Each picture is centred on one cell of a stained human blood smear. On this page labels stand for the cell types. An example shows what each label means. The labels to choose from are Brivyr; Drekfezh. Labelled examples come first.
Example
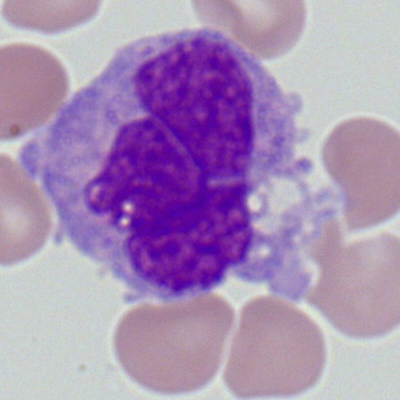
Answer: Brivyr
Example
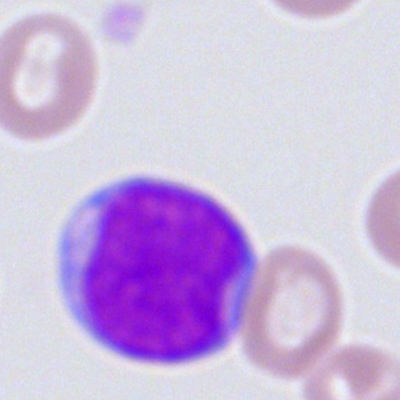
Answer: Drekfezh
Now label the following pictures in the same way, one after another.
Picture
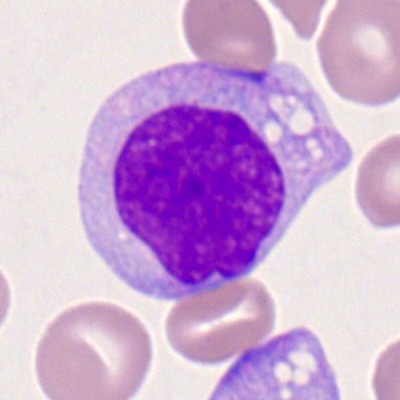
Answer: Brivyr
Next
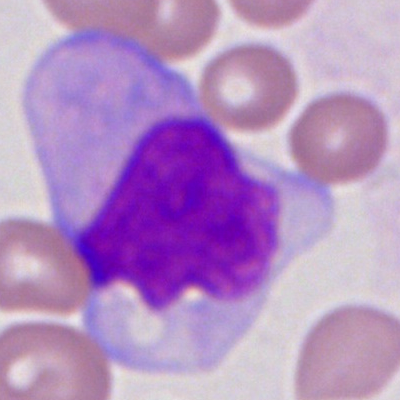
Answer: Brivyr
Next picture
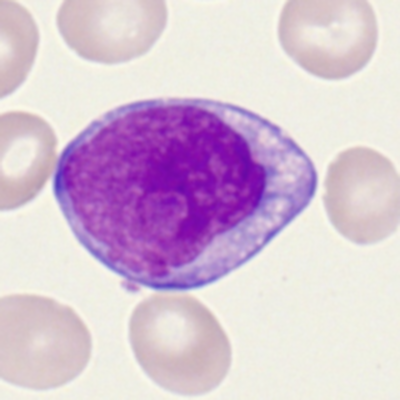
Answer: Drekfezh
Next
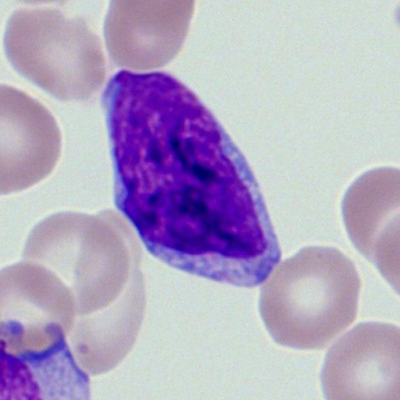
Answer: Drekfezh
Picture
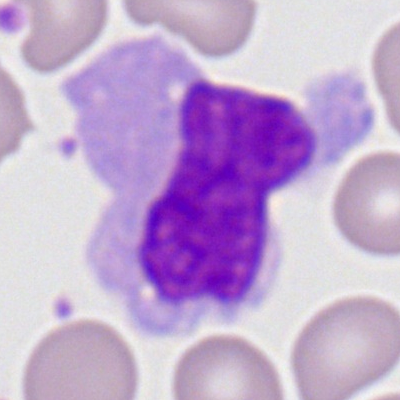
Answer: Brivyr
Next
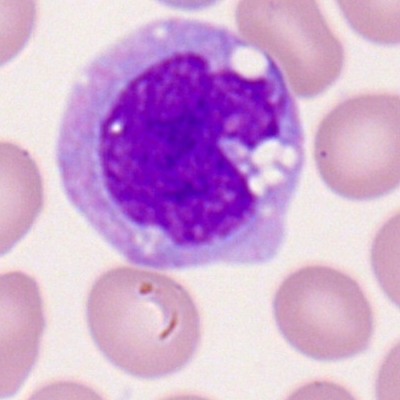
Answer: Brivyr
